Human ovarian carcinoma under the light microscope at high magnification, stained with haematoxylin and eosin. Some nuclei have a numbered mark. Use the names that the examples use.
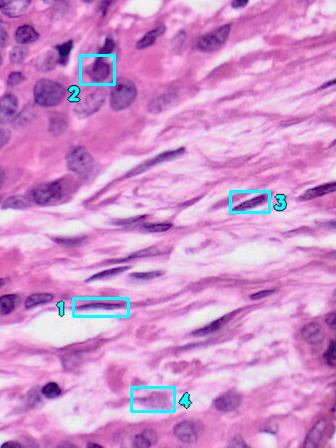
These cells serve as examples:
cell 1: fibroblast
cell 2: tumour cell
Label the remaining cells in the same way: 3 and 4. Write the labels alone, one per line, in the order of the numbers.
fibroblast
fibroblast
